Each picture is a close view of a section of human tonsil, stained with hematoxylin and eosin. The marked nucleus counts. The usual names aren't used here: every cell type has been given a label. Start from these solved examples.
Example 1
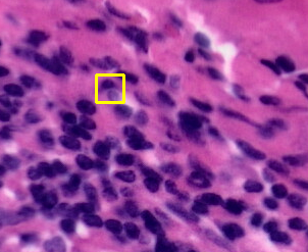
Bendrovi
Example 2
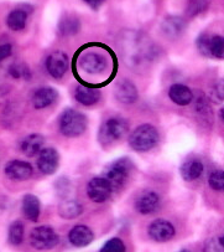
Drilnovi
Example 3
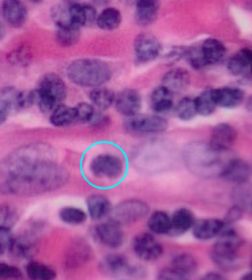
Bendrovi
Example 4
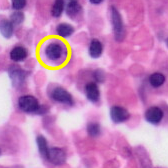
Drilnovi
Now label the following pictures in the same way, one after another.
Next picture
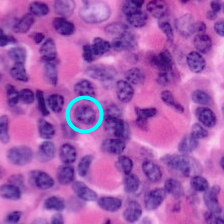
Drilnovi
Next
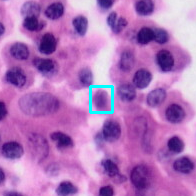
Drilnovi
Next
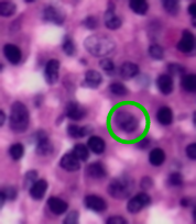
Drilnovi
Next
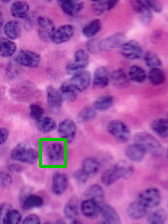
Drilnovi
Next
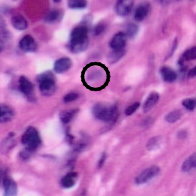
Bendrovi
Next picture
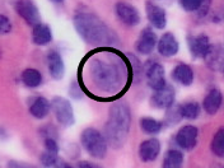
Bendrovi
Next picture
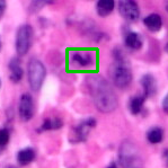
Bendrovi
